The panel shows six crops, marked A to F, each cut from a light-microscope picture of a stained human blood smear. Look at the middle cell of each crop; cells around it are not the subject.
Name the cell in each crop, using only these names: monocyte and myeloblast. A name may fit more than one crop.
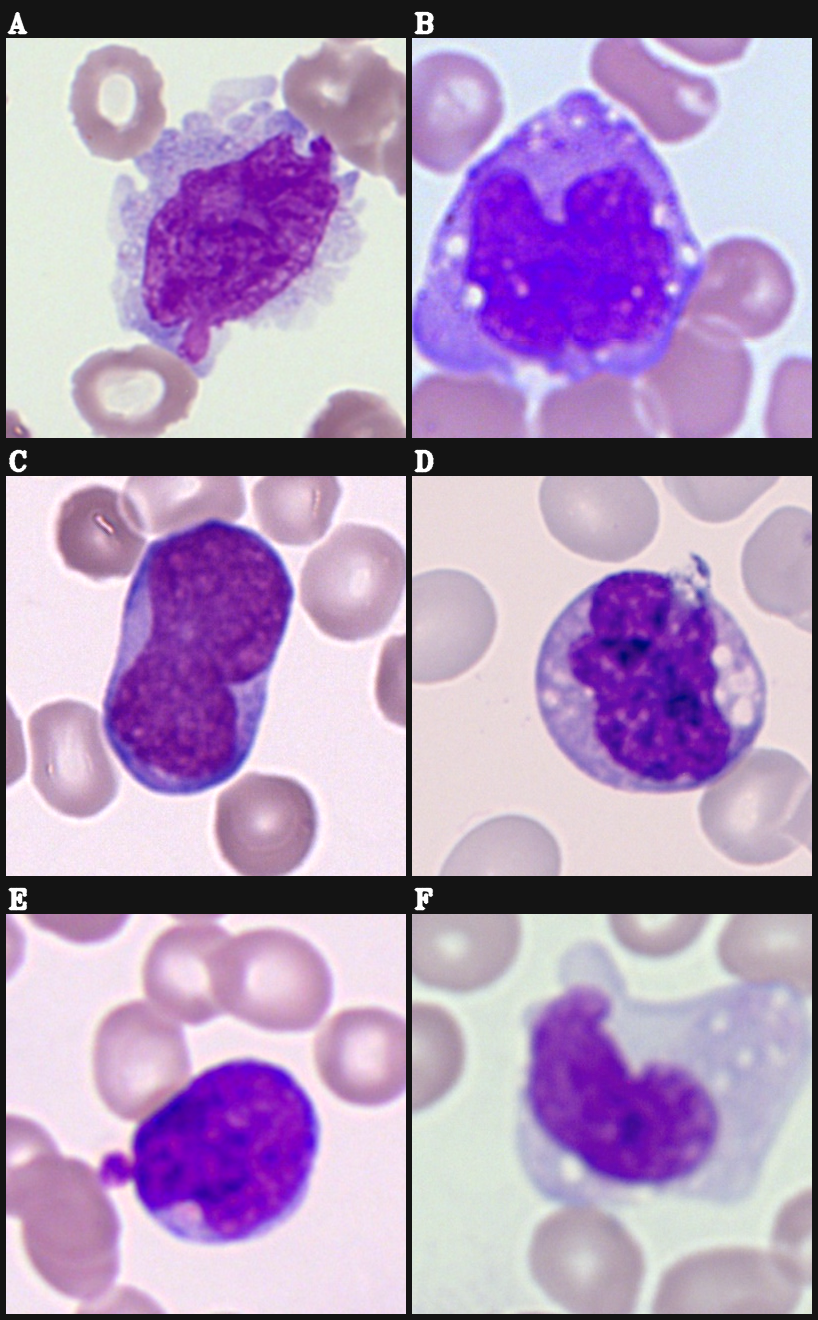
A: monocyte
B: monocyte
C: myeloblast
D: monocyte
E: myeloblast
F: monocyte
